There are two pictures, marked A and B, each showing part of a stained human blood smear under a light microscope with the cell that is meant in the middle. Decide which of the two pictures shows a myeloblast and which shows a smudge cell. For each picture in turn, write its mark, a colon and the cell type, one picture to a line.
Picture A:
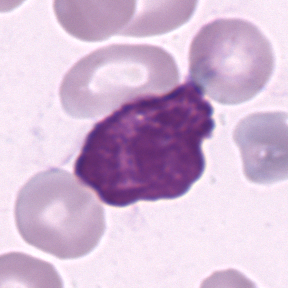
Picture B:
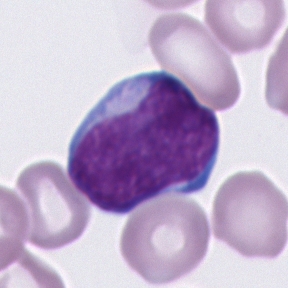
A: smudge cell
B: myeloblast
